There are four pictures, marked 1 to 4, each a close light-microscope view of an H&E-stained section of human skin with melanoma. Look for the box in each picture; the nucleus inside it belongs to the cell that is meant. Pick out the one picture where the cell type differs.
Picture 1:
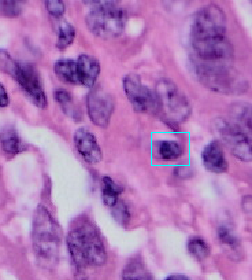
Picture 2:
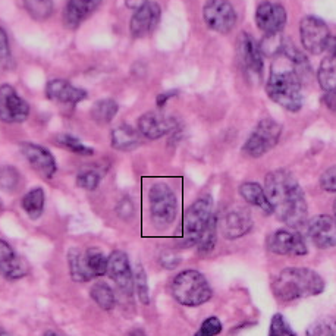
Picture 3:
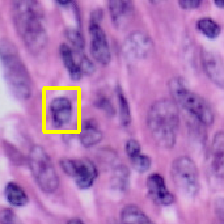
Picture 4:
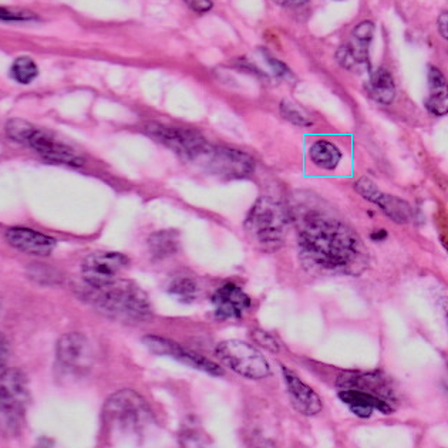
2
